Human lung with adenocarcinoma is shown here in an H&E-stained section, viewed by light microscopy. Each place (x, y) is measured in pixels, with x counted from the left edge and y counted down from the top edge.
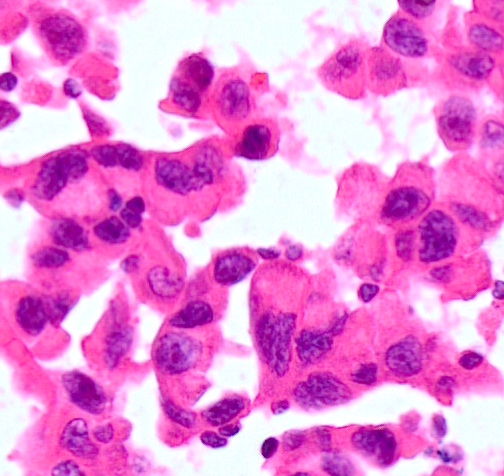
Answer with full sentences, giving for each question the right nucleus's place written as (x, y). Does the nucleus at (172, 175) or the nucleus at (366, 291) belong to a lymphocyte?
Of the two, the nucleus lying at (366, 291) is the one belonging to a lymphocyte.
